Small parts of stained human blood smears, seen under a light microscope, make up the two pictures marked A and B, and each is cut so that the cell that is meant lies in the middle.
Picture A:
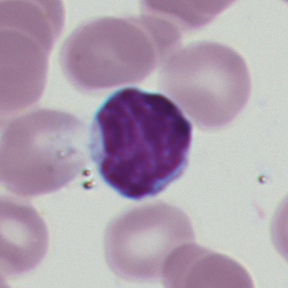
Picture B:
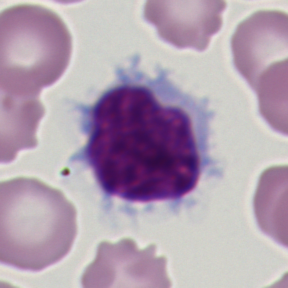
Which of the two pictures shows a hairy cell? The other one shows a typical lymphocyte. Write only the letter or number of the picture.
B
